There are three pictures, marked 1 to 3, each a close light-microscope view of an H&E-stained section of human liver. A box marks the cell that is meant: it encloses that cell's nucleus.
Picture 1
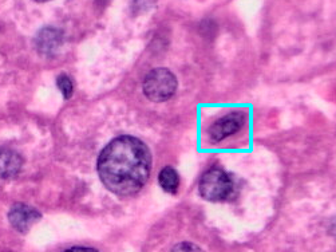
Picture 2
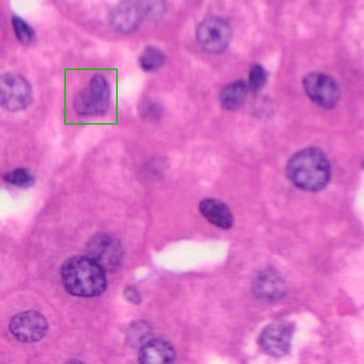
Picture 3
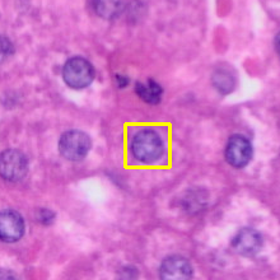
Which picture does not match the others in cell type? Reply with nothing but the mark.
3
